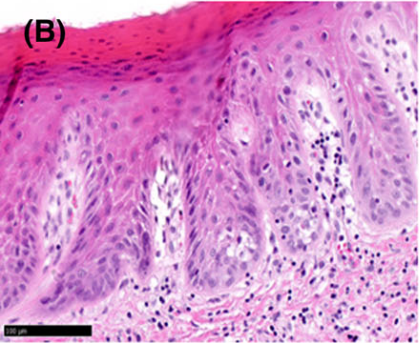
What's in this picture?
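Squamous epithelium with long, narrow rete ridges separated by thin dermal papillae containing small vessels. The keratinocytes have pale pink cytoplasm and scattered enlarged nuclei, and small dark inflammatory cells gather in the dermis below the ridges.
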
